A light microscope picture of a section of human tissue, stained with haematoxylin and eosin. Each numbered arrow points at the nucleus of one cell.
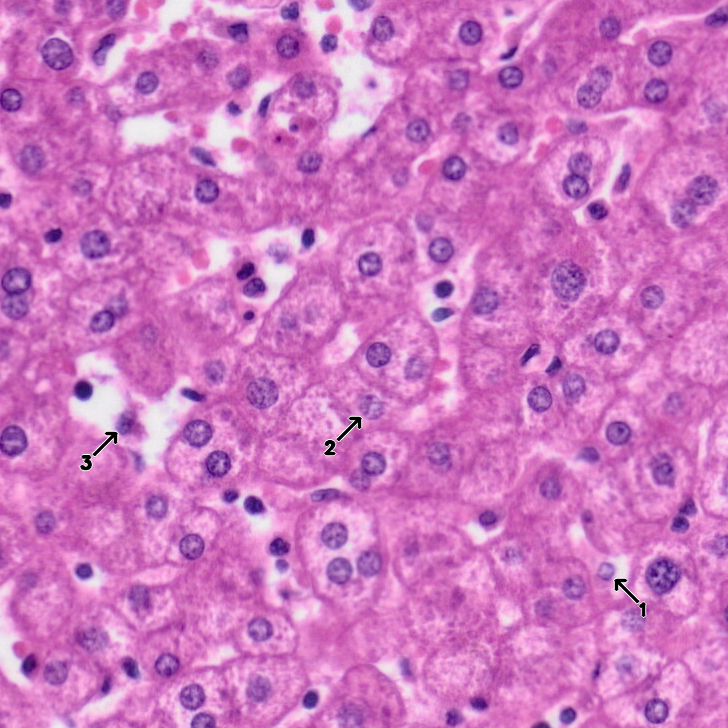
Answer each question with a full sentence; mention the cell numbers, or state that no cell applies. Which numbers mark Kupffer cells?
The cells to which the numbers 1 and 3 refer are Kupffer cells.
